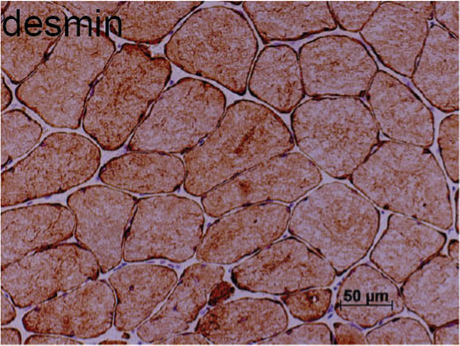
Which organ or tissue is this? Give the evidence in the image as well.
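Polygonal fibers of similar size in cross section, tightly packed. Thin connective tissue between fibers. Small nuclei at the fiber edges. On this evidence: muscle.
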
